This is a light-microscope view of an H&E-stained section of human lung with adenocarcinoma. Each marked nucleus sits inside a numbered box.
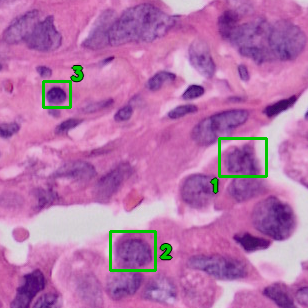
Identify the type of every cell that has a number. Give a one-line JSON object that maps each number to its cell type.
{"1": "carcinoma cell", "2": "carcinoma cell", "3": "lymphocyte"}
